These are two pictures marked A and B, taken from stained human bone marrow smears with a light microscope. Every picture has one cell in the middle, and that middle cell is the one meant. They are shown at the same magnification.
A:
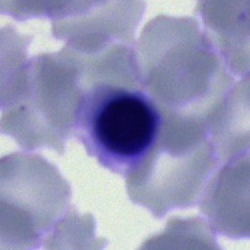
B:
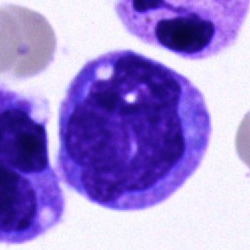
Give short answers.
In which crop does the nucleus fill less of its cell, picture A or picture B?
A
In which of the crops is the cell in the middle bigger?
B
